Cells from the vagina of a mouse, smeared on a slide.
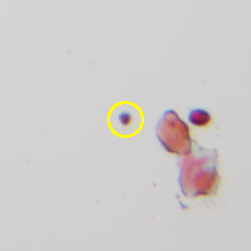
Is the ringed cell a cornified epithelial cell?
No, it is a leukocyte.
